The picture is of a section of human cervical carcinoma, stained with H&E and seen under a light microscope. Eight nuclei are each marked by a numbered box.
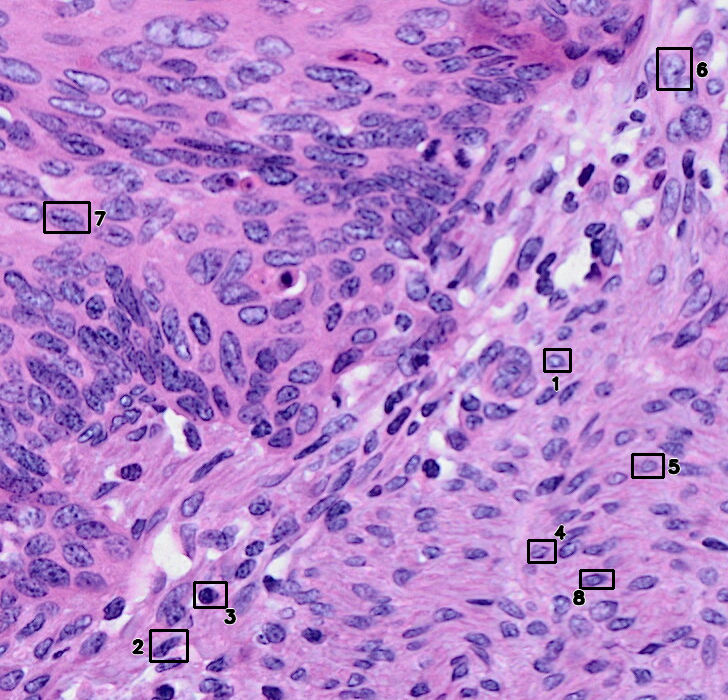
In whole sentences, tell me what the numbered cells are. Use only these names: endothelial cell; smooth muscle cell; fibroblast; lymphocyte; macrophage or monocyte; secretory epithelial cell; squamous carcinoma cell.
Cell 1 is a smooth muscle cell, cell 2 is a lymphocyte, cell 3 is a lymphocyte, cell 4 is a smooth muscle cell, cell 5 is a smooth muscle cell, cell 6 is an endothelial cell, cell 7 is a squamous carcinoma cell and cell 8 is a smooth muscle cell.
